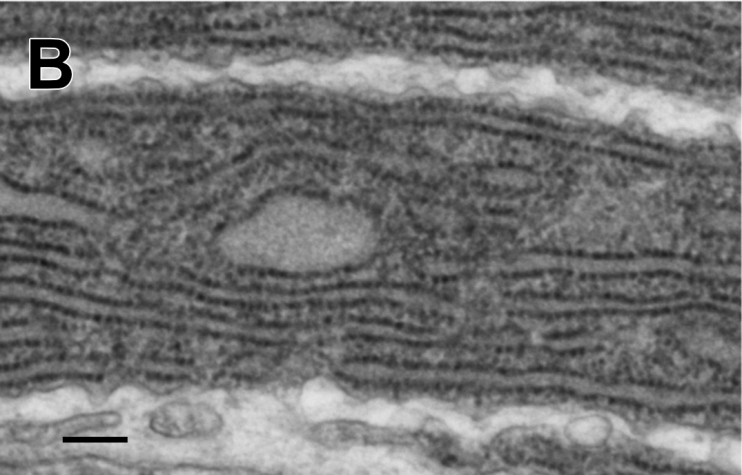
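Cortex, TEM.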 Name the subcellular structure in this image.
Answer: Rough endoplasmic reticulum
